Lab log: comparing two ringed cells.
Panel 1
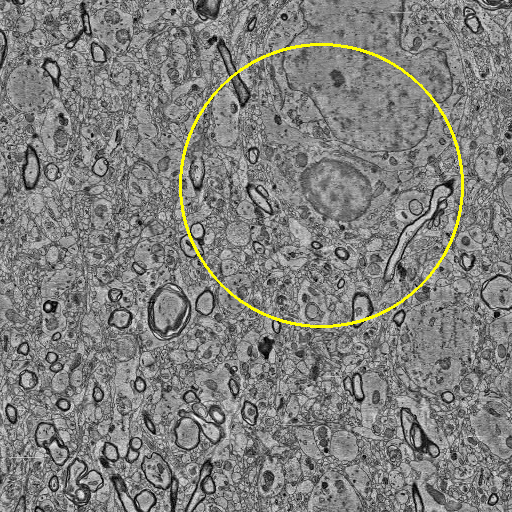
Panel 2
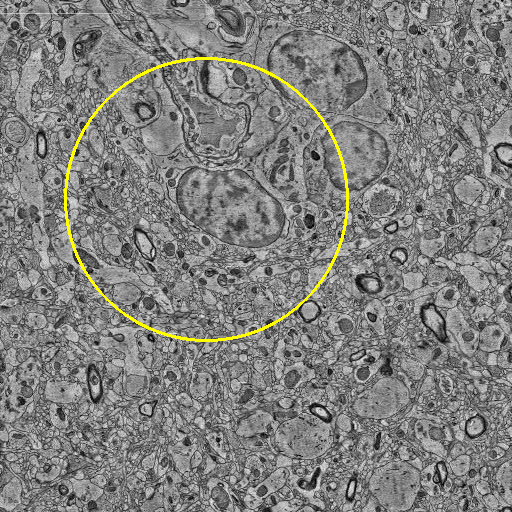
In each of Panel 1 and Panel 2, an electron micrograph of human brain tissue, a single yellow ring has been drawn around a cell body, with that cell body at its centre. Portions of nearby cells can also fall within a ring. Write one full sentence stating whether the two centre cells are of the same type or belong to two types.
The cells at the ring centres in Panel 1 and Panel 2 belong to two types.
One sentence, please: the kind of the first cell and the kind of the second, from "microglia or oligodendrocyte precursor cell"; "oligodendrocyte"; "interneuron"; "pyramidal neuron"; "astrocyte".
The ring in the first picture surrounds an oligodendrocyte, and the ring in the second surrounds a microglial cell or oligodendrocyte precursor cell.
